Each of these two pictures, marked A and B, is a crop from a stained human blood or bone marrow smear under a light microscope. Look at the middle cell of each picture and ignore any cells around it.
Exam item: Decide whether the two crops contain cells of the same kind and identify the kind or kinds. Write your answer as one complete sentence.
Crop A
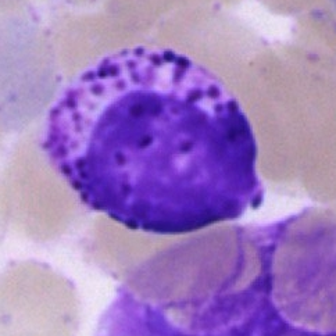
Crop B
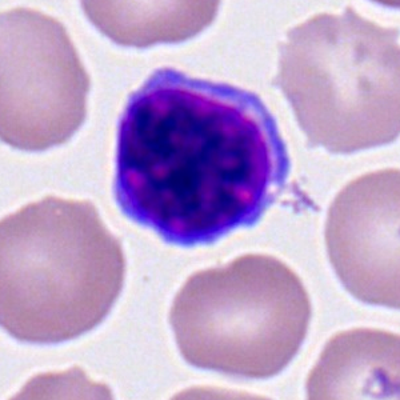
No, the cell in crop A is a basophil and the one in crop B is a lymphocyte.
